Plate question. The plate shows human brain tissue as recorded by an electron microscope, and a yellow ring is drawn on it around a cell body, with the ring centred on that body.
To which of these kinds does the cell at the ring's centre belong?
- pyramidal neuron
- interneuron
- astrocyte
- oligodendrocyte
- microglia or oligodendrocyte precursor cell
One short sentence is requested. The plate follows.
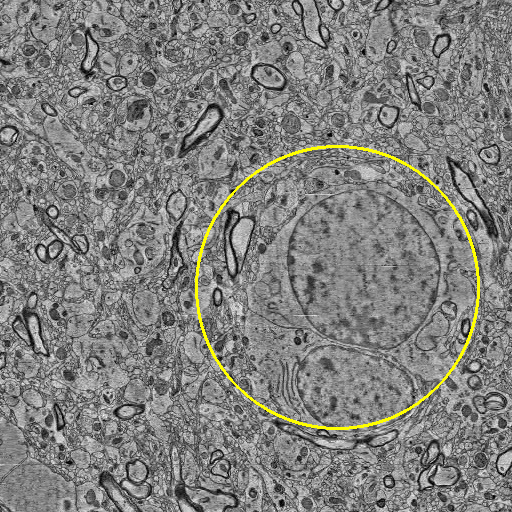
The cell at the ring's centre is an astrocyte.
